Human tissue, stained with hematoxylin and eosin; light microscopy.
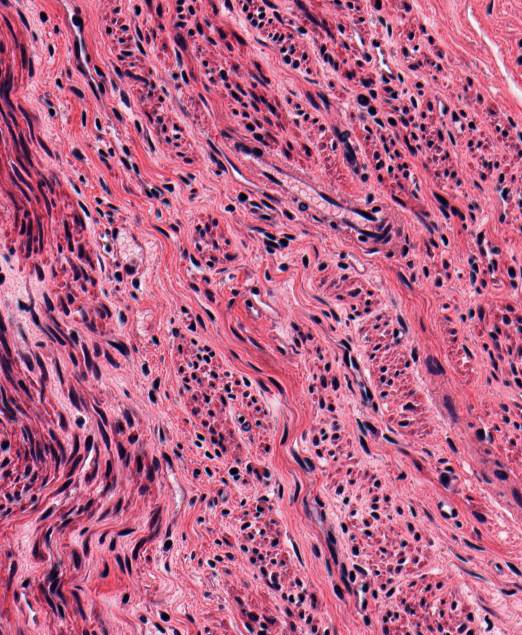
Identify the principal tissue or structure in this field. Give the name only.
smooth muscle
